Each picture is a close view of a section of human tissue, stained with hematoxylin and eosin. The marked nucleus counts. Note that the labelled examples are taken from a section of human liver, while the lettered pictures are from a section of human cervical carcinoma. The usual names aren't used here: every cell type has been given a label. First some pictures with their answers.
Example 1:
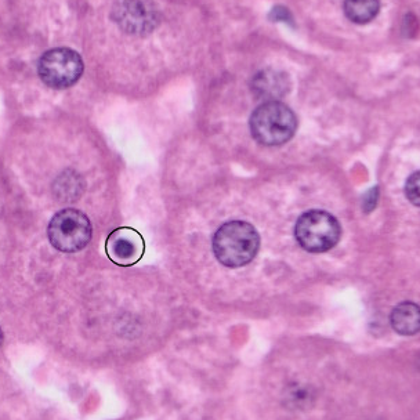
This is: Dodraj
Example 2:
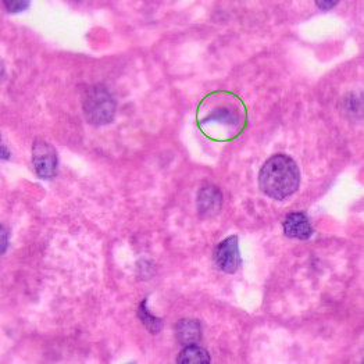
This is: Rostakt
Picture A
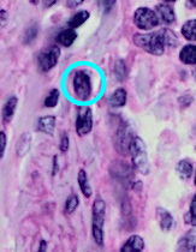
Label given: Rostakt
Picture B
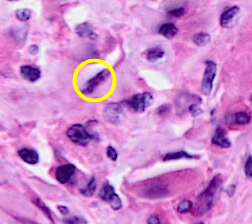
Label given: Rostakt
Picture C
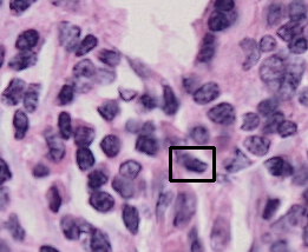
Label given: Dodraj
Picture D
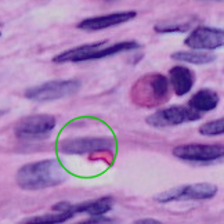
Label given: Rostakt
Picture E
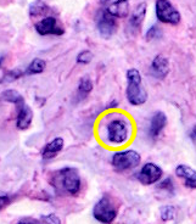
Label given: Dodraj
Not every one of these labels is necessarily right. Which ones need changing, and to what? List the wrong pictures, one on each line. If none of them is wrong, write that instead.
Wrong: A (Rostakt); correct: Dodraj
